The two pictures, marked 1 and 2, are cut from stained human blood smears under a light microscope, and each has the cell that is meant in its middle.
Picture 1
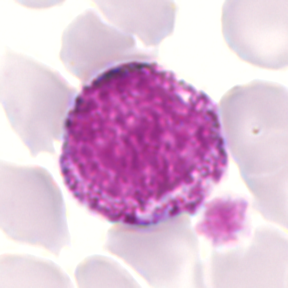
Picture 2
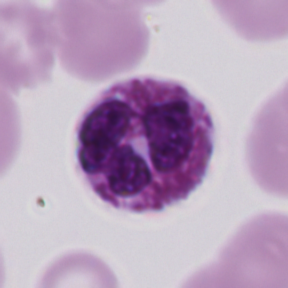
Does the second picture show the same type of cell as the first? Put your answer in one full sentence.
No; the cell in picture 1 is a myelocyte, while the one in picture 2 is an eosinophil.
